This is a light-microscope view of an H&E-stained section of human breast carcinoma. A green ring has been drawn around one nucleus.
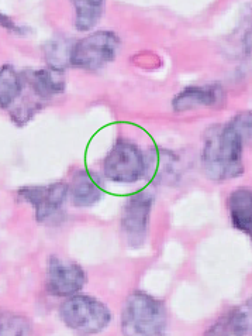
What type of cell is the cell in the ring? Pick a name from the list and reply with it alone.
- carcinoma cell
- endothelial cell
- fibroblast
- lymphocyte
carcinoma cell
